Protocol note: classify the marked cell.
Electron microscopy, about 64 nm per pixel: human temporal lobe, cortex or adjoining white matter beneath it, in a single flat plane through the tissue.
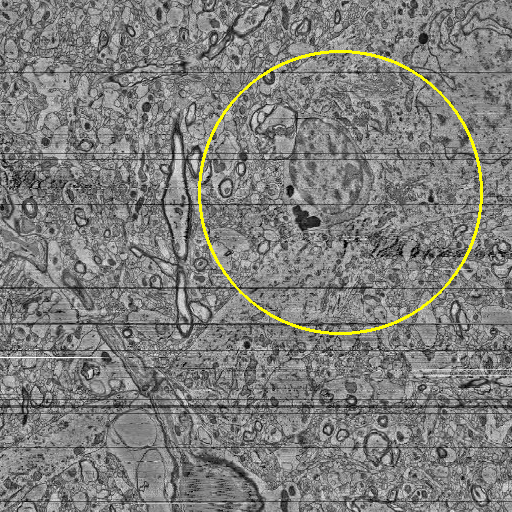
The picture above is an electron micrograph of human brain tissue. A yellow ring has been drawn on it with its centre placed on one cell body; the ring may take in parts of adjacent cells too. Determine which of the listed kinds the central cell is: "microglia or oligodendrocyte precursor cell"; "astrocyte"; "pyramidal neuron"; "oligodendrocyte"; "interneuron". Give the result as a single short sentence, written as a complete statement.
The central cell is an oligodendrocyte.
